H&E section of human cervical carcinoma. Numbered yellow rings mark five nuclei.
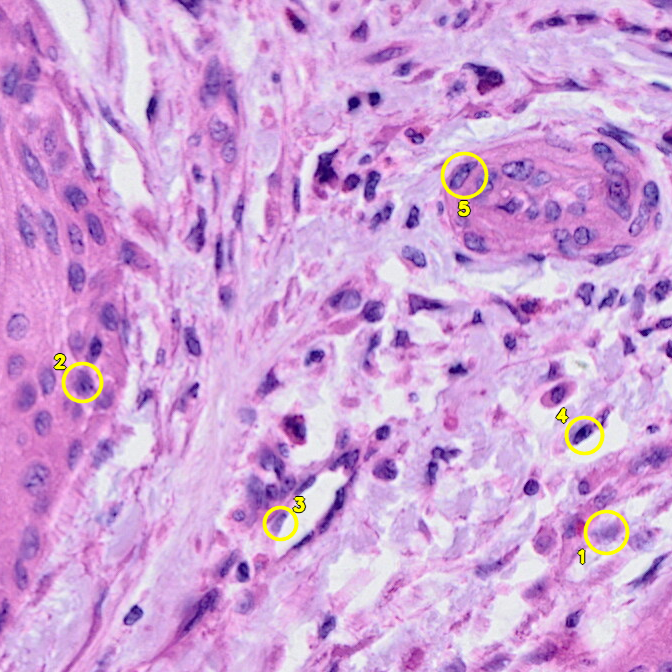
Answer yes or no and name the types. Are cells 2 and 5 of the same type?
No, the proper labels are a squamous carcinoma cell for cell 2 and a smooth muscle cell for cell 5.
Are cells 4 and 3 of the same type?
No, cell 4 is a lymphocyte, and cell 3 is an endothelial cell.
